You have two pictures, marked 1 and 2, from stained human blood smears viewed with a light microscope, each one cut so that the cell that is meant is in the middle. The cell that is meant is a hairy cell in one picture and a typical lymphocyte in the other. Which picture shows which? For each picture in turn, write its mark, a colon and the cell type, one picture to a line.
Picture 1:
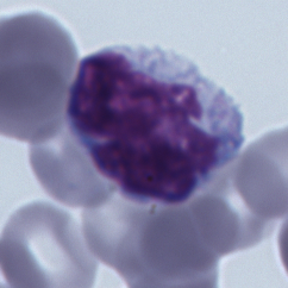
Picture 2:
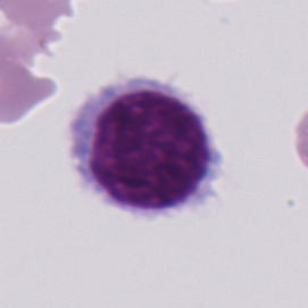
1: typical lymphocyte
2: hairy cell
